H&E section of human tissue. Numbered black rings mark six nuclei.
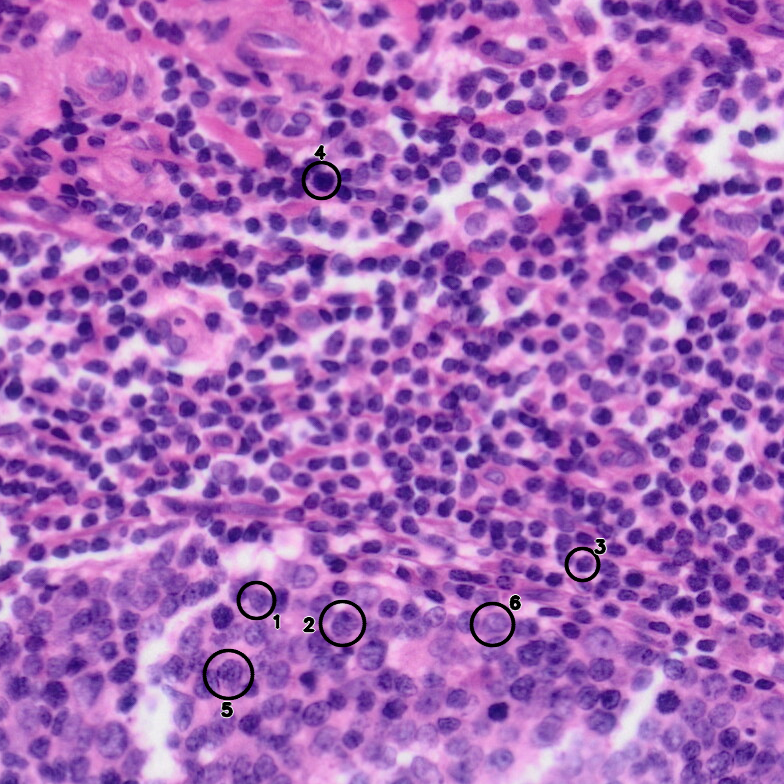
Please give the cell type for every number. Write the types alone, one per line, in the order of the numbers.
proliferating B cell
proliferating B cell
small lymphocyte
small lymphocyte
proliferating B cell
proliferating B cell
